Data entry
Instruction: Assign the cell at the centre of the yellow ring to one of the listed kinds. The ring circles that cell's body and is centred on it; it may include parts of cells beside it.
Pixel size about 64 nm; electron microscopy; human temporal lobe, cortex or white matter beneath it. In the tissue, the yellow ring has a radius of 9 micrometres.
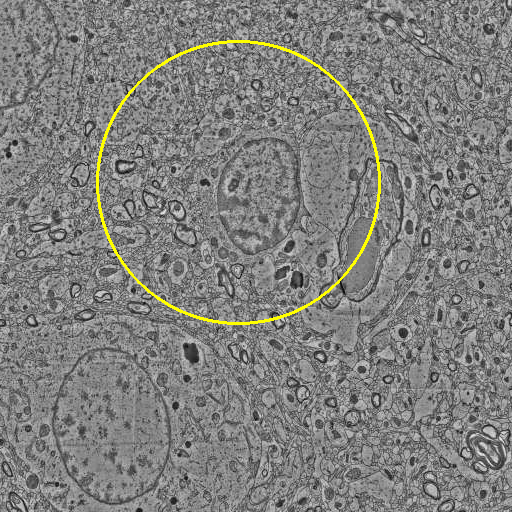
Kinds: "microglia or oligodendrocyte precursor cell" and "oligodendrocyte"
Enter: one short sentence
The centre of the ring falls on an oligodendrocyte.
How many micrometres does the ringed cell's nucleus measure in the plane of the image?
The nucleus works out at approximately 8 by 5 micrometres in this plane.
